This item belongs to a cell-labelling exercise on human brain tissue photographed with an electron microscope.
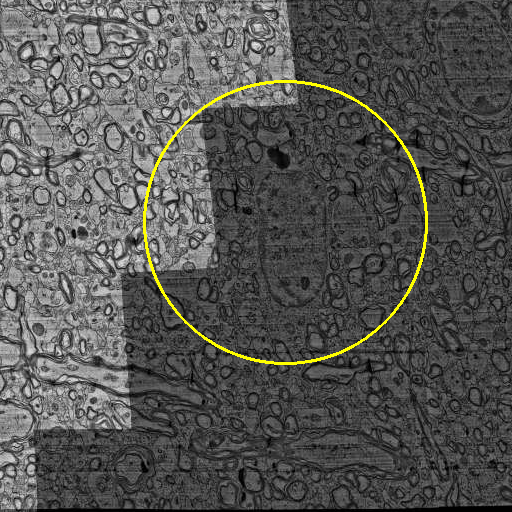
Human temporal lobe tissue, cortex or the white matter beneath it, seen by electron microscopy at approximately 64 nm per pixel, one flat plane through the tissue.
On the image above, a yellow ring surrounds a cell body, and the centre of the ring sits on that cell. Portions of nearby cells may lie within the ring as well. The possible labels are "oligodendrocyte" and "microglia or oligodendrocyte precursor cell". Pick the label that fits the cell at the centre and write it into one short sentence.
This cell should be labelled as an oligodendrocyte.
